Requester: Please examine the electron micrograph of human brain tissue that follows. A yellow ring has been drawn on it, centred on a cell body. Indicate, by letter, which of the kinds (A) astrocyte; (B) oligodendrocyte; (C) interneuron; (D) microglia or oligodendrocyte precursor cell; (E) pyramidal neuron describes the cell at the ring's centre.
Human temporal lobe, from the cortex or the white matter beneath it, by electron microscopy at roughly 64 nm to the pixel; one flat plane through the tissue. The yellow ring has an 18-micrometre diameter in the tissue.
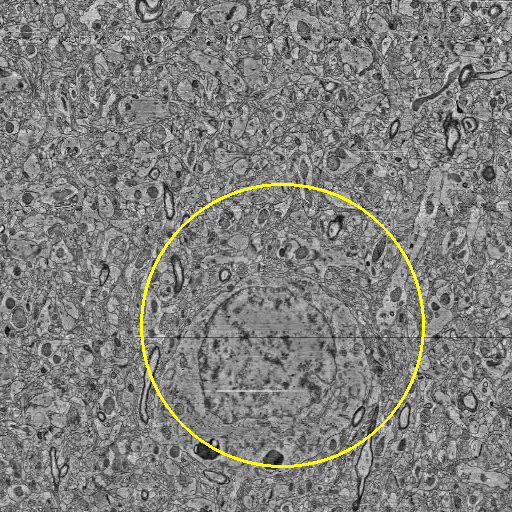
C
